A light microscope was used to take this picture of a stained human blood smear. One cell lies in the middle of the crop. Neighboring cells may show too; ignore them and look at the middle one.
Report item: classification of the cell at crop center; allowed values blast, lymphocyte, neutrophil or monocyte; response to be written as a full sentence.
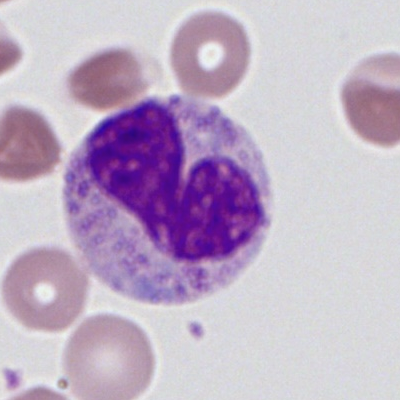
Regarding the central cell, it is a monocyte.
